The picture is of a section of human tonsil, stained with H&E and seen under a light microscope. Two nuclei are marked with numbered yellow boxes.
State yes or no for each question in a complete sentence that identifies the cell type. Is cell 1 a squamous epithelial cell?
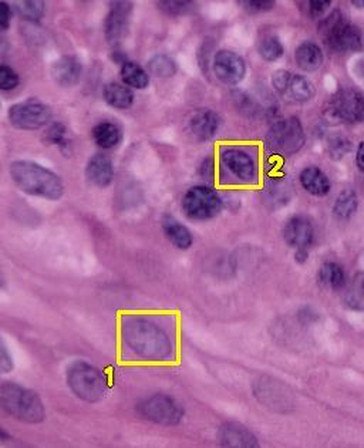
Yes, the cell referred to as number 1 is a squamous epithelial cell.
